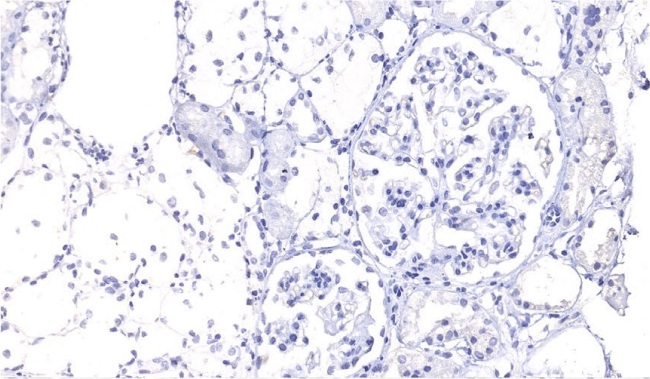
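A glomerulus within Bowman's capsule lies among tubules in kidney cortex, with a lobulated tuft of capillary loops and scattered blue nuclei. Surrounding tubules appear dilated with flattened lining cells and pale lumens.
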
